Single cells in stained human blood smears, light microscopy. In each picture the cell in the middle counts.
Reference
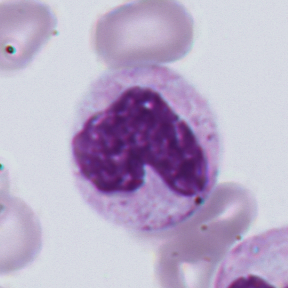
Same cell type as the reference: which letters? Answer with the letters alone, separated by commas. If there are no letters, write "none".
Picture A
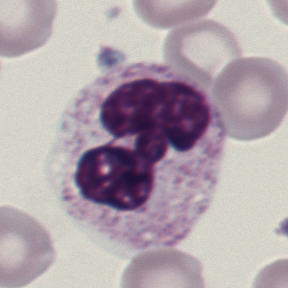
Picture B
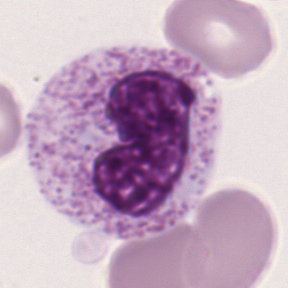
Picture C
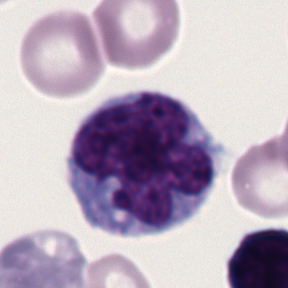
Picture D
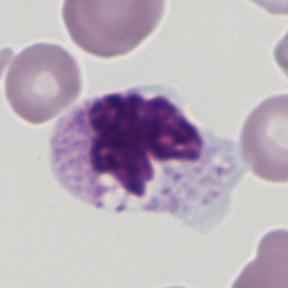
B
